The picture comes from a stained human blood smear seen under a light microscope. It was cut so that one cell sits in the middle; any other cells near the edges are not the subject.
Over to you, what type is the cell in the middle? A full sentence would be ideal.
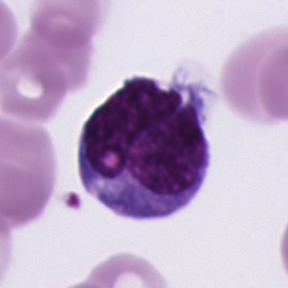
This crop has a monocyte at its centre.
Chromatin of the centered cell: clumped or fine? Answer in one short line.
Take a look at the chromatin, which is coarsely clumped.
